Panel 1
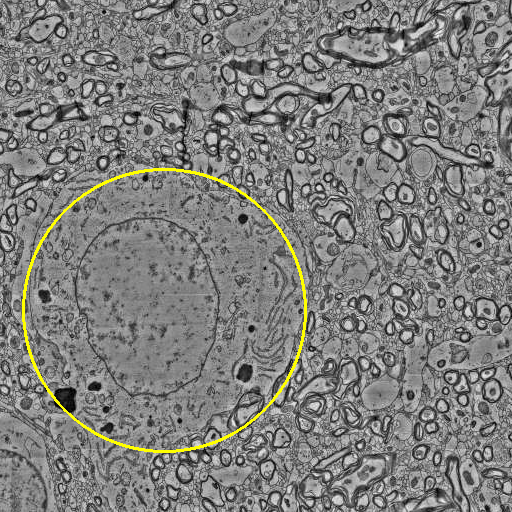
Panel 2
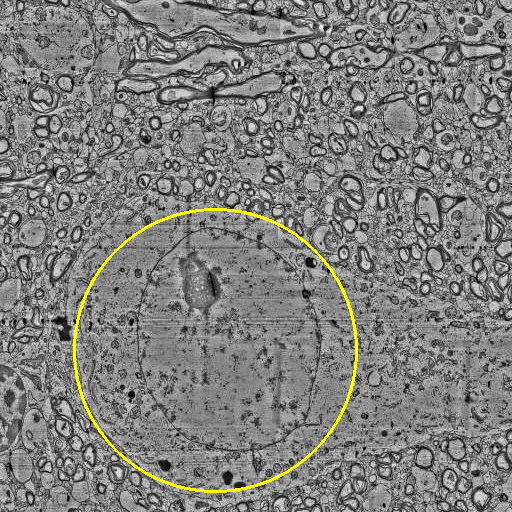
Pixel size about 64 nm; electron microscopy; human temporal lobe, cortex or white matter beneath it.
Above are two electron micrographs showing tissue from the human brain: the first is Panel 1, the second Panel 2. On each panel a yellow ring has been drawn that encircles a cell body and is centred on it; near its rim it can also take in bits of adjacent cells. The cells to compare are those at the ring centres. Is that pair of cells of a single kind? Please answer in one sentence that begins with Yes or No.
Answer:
Yes, the ring-centred cells of Panel 1 and Panel 2 belong to one kind.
